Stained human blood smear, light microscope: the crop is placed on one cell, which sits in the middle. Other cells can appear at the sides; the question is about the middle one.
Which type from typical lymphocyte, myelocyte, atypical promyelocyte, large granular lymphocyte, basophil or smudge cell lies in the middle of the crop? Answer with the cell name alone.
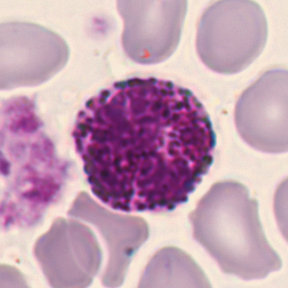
basophil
